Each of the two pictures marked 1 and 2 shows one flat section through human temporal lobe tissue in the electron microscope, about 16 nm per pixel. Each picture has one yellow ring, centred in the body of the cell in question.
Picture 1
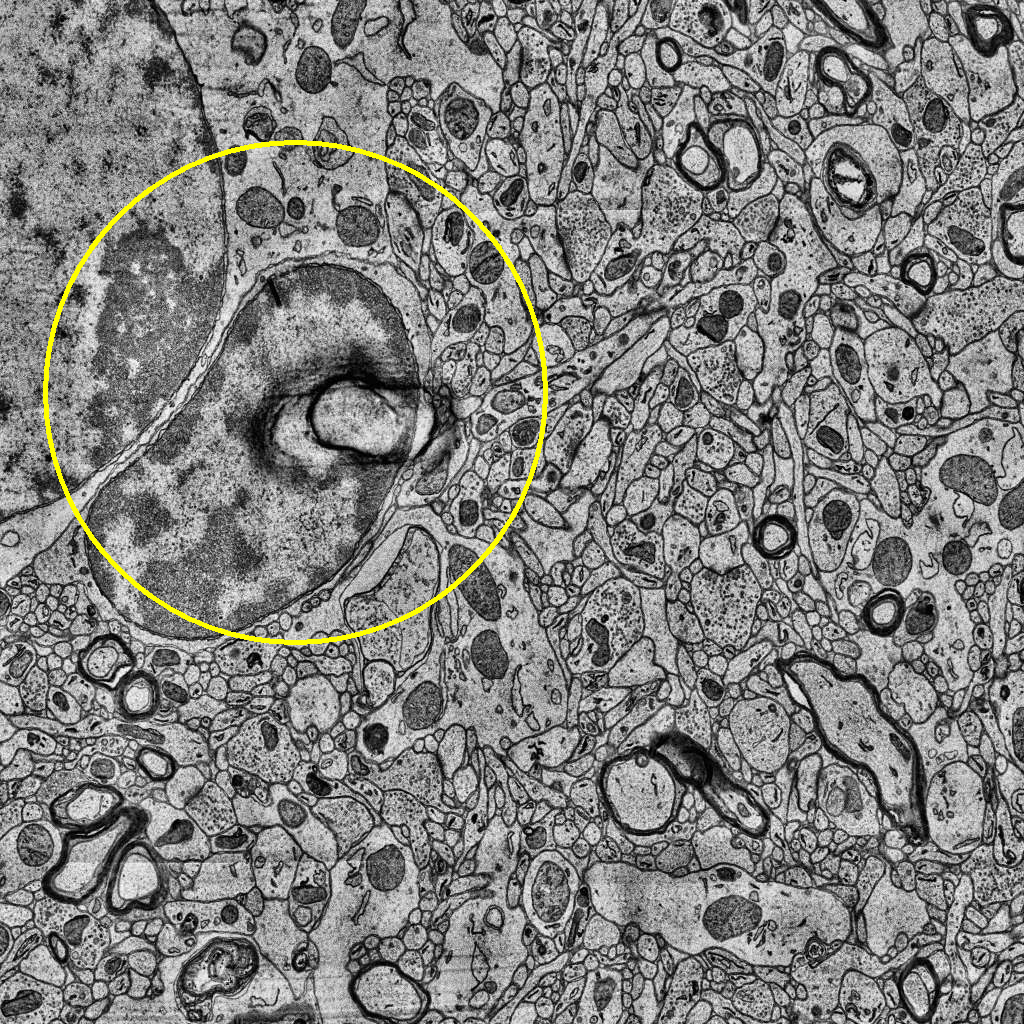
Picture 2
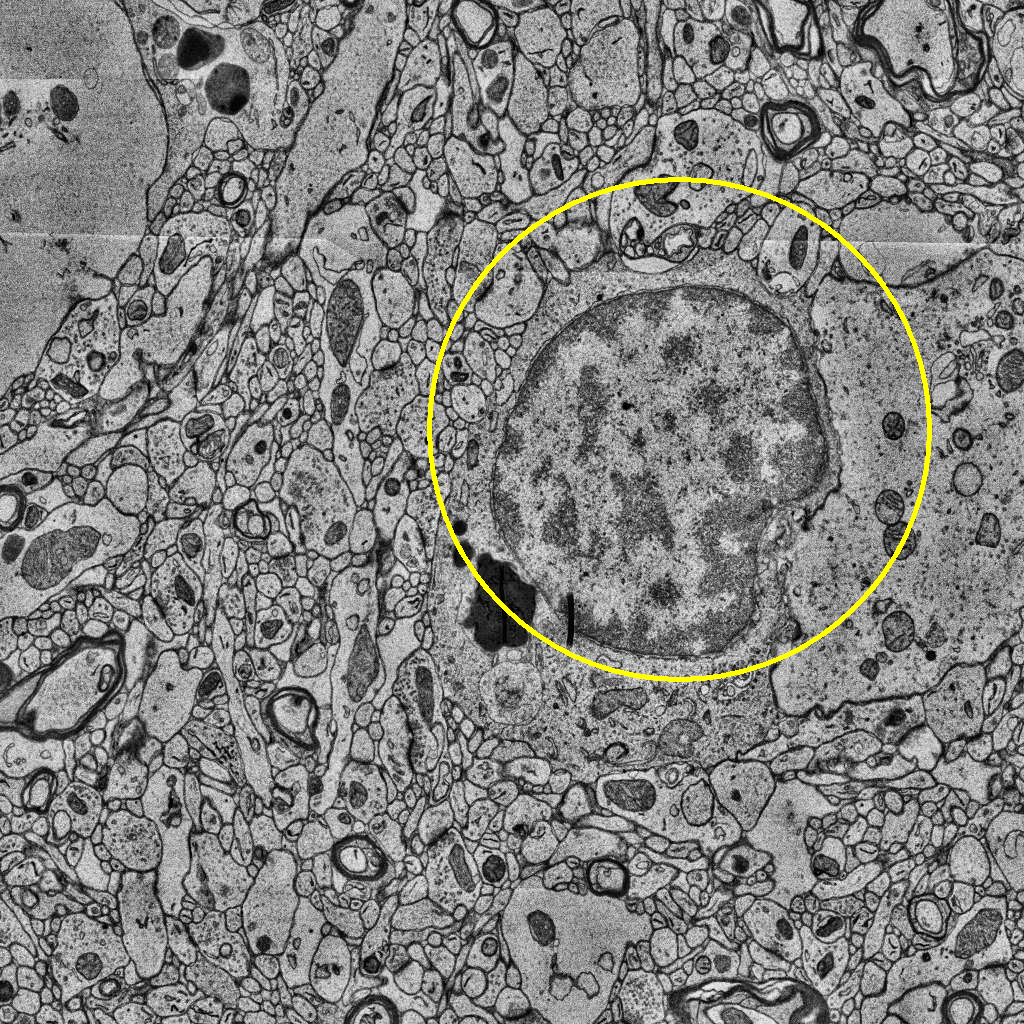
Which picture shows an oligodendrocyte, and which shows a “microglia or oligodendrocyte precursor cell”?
The cell in picture 1 is a “microglia or oligodendrocyte precursor cell”, and the one in picture 2 is an oligodendrocyte.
